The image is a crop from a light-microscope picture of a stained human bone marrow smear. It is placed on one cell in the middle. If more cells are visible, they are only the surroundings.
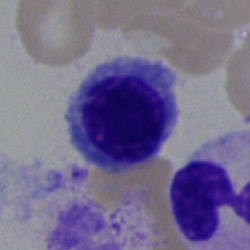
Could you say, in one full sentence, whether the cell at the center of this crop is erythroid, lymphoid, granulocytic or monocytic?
The cell in the middle of the crop is considered part of the erythroid lineage.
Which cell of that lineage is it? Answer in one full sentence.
The center cell of this crop is an erythroblast.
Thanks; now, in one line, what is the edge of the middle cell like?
Irregularity marks the cell border, whether as raggedness or as projections.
